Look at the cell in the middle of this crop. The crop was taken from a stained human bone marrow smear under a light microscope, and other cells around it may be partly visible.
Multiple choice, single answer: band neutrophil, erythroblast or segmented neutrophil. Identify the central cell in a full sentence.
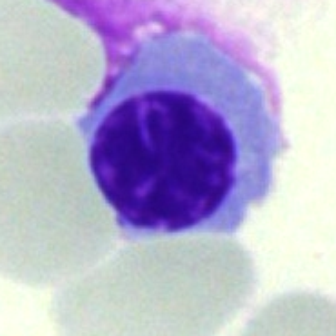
The crop's centre is taken up by an erythroblast.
